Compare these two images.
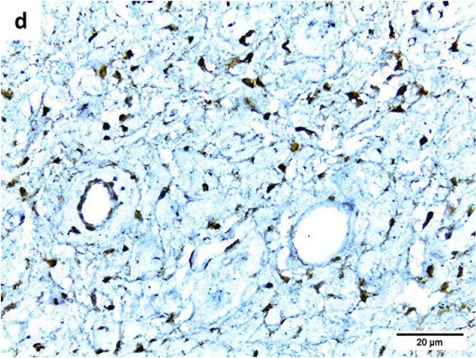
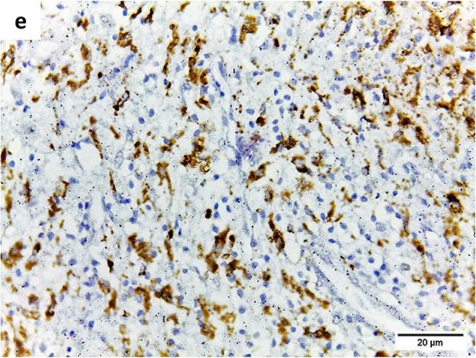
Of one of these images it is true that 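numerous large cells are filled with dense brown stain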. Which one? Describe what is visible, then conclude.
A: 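Second image: many large, irregular cells with abundant brown-stained cytoplasm crowd the field. First image: only scattered small, slender cells carry brown stain in pale, loose tissue.
The second image.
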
